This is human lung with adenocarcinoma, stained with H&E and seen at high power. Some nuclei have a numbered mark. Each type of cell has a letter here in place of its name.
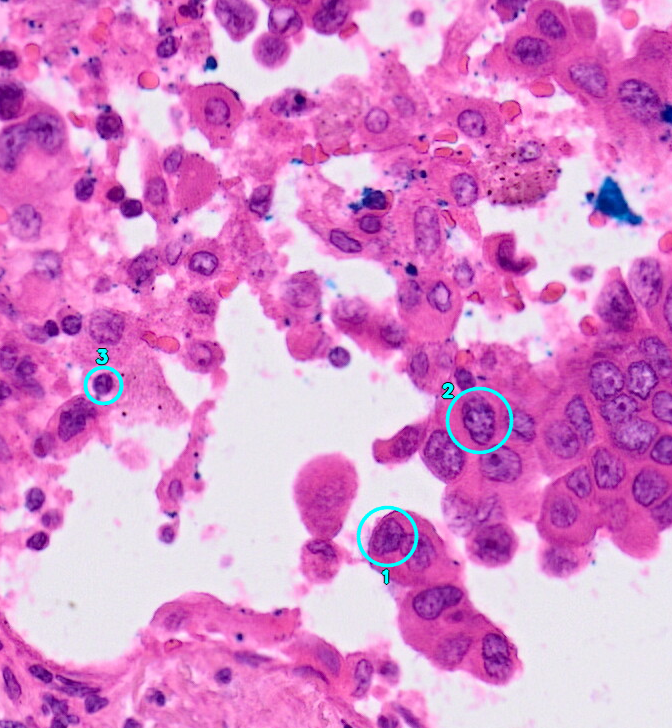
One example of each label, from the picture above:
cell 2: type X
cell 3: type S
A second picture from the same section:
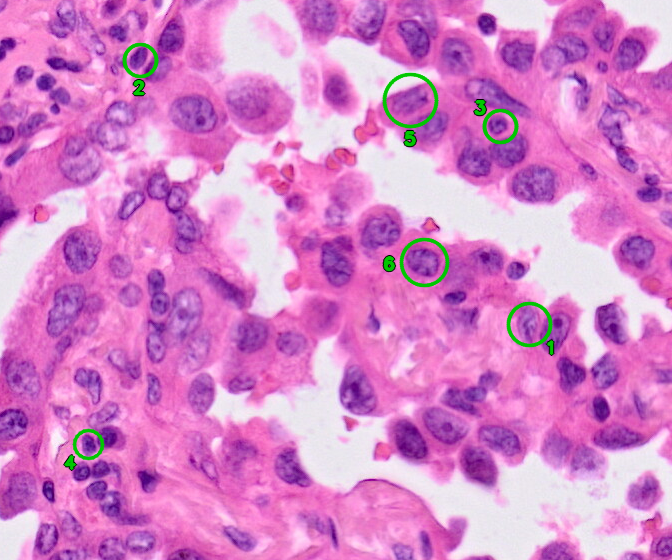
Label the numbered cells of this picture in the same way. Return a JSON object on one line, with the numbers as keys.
{"1": "type X", "2": "type S", "3": "type S", "4": "type S", "5": "type X", "6": "type X"}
